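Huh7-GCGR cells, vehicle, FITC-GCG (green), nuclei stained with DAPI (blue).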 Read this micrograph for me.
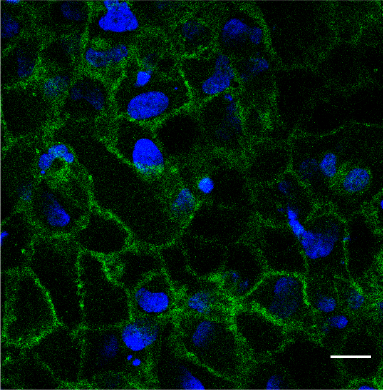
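A dense sheet of cultured cells fills the field, each cell polygonal and pressed against its neighbours. A thin green line traces the border of nearly every cell, giving a honeycomb-like network. The label thus sits at the cell surface rather than inside the cells.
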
